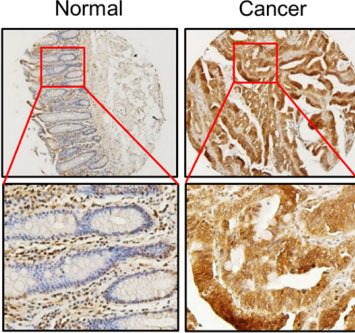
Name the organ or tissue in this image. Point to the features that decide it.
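The crypts are lined by columnar epithelium with many pale goblet-like cells. Loose lamina propria lies between the crypts. So: colon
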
